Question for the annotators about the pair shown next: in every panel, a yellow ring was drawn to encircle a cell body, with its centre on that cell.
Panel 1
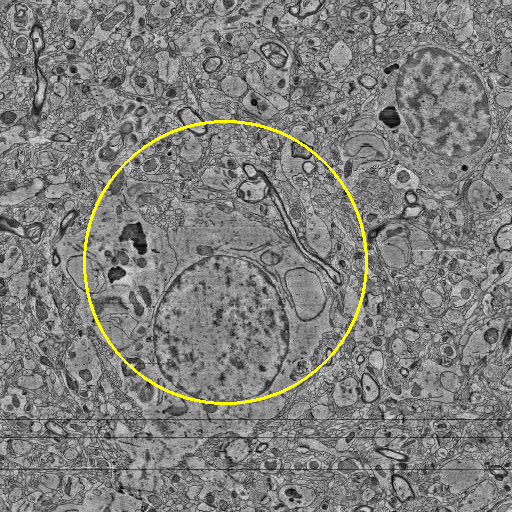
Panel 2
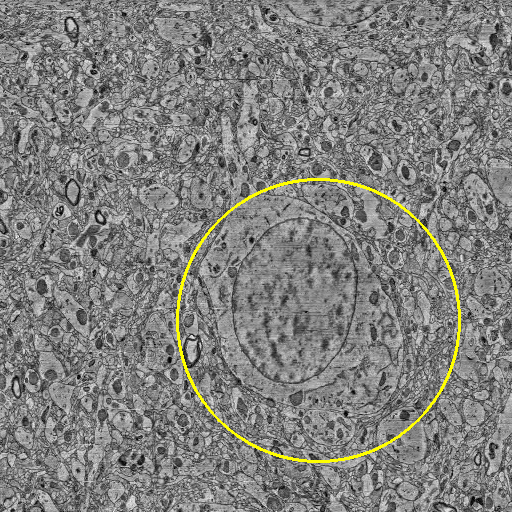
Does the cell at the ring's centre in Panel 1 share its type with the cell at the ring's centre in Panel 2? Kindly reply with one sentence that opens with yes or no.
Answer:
No, in Panels 1 and 2 the cells at the ring centres belong to separate types.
